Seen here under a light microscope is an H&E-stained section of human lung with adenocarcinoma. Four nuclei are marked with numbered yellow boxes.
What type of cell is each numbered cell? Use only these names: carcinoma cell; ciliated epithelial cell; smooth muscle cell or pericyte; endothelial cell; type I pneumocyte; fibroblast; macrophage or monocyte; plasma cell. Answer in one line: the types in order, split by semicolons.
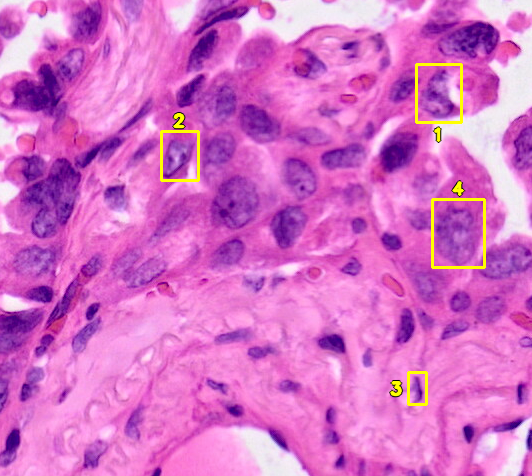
carcinoma cell; carcinoma cell; fibroblast; carcinoma cell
